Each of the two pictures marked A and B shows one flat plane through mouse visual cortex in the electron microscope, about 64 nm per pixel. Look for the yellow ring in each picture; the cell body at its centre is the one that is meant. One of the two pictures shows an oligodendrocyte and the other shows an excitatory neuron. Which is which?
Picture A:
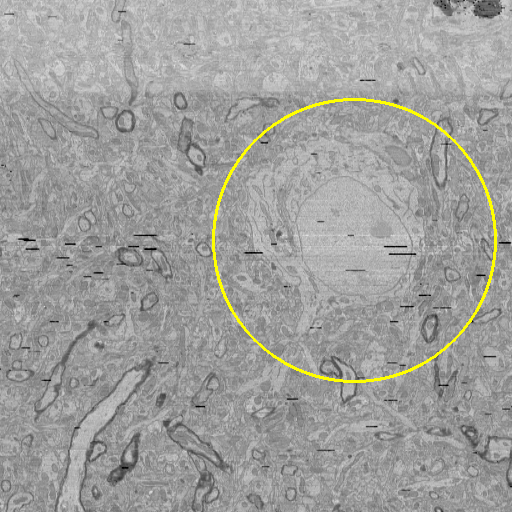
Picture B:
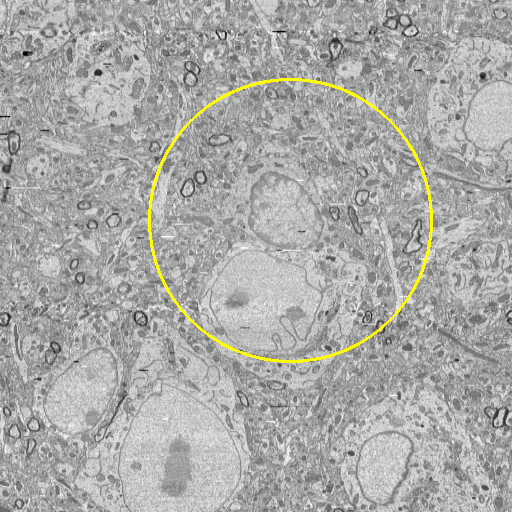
In picture A the cell is an excitatory neuron; in picture B, an oligodendrocyte.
